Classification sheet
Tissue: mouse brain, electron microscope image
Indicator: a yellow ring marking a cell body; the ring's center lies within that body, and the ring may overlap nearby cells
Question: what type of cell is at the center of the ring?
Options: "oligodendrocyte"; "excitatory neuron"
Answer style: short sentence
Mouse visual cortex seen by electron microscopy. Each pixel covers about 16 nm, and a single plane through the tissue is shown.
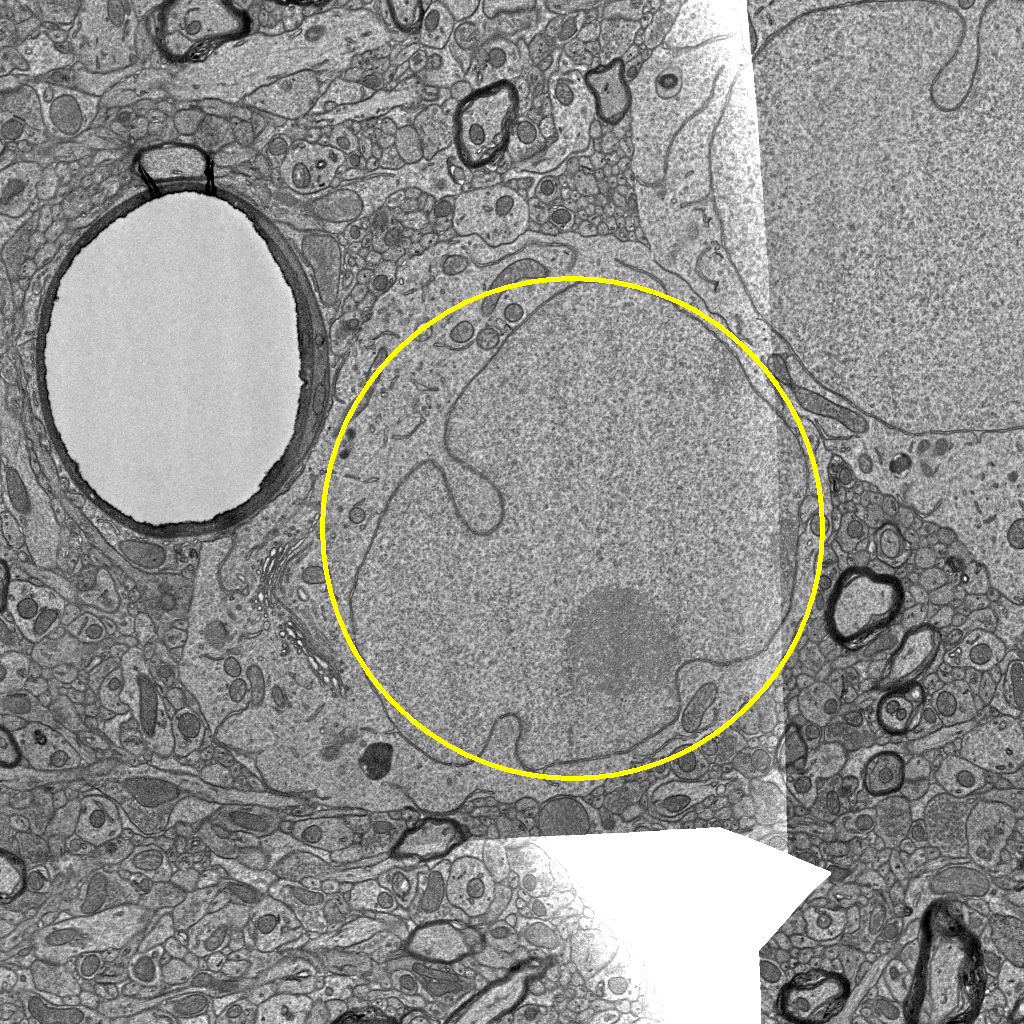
At the ring's center is an excitatory neuron.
